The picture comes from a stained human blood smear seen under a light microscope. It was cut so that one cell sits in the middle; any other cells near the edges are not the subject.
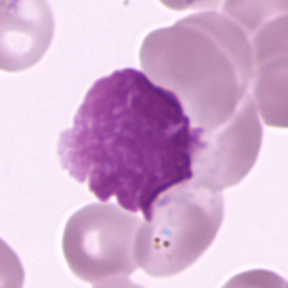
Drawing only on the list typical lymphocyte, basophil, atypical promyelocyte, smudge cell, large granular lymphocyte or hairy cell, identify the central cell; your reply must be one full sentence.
Seen at the centre of the crop is a smudge cell.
